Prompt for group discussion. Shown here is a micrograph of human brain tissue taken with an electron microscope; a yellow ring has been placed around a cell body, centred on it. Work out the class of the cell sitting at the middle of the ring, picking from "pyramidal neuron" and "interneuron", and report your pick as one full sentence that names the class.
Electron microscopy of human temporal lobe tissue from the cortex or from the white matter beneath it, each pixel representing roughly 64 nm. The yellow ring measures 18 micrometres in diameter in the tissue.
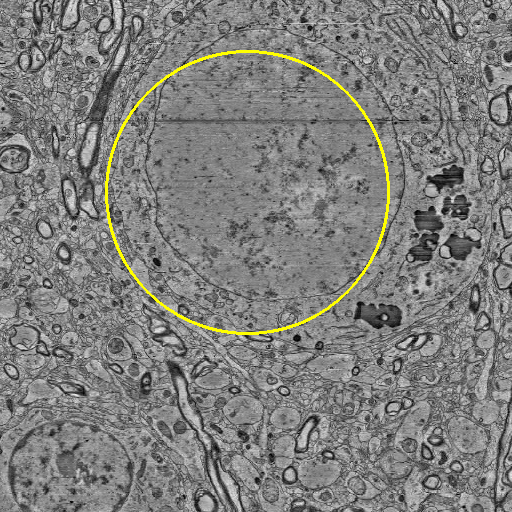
The cell sitting at the middle of the yellow ring is a pyramidal neuron.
